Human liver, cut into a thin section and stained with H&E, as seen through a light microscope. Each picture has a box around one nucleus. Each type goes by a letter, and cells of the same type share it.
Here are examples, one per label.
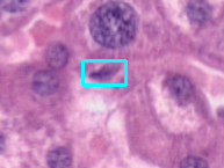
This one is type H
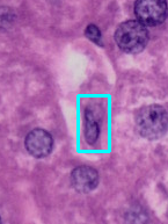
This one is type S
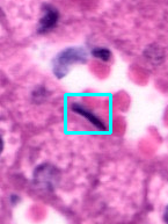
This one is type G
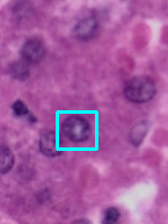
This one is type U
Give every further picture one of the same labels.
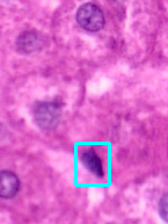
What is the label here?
type G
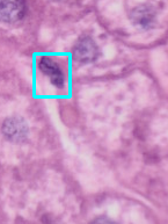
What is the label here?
type S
